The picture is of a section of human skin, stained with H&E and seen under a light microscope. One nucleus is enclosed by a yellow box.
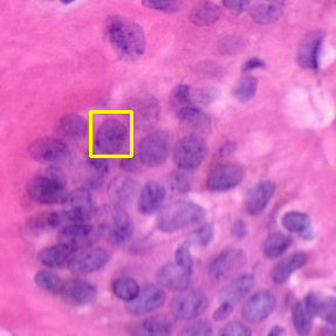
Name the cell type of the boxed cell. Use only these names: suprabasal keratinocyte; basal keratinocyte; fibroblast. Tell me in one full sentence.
Placed in its cell category, the boxed cell is a basal keratinocyte.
